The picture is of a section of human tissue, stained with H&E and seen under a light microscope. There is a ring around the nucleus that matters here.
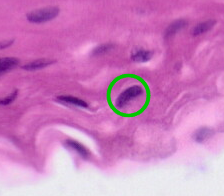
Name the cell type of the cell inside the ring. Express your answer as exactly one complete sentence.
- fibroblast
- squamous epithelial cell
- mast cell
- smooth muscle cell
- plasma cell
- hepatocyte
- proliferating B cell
In cell-type terms, the cell inside the ring is a squamous epithelial cell.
